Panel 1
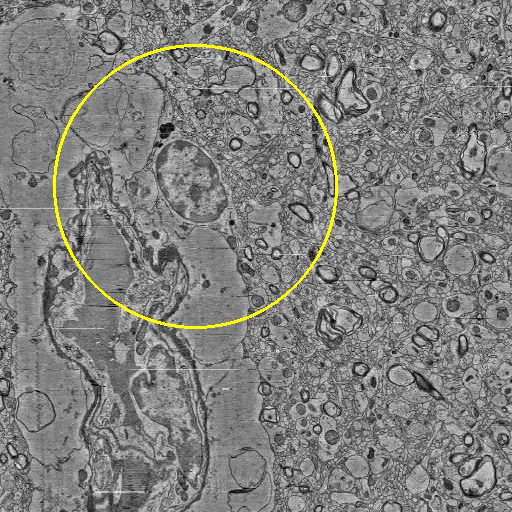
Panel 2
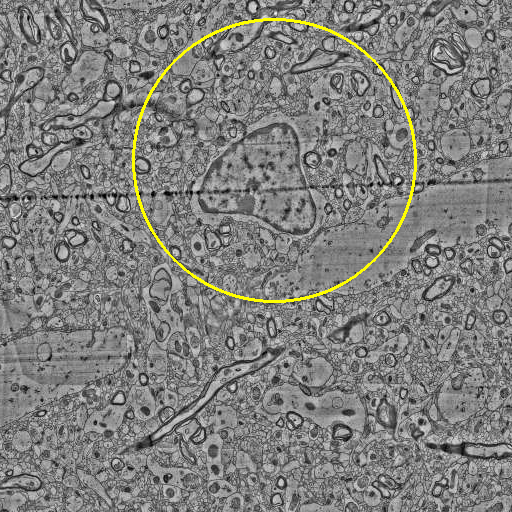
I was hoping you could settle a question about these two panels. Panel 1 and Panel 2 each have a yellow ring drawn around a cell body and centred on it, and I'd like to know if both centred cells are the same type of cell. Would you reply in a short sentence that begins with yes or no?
Yes, both are the same type of cell.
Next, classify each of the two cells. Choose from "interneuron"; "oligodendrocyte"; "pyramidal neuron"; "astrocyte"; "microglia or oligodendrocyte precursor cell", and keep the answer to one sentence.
Each of the two rings is centred on a microglial cell or oligodendrocyte precursor cell.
